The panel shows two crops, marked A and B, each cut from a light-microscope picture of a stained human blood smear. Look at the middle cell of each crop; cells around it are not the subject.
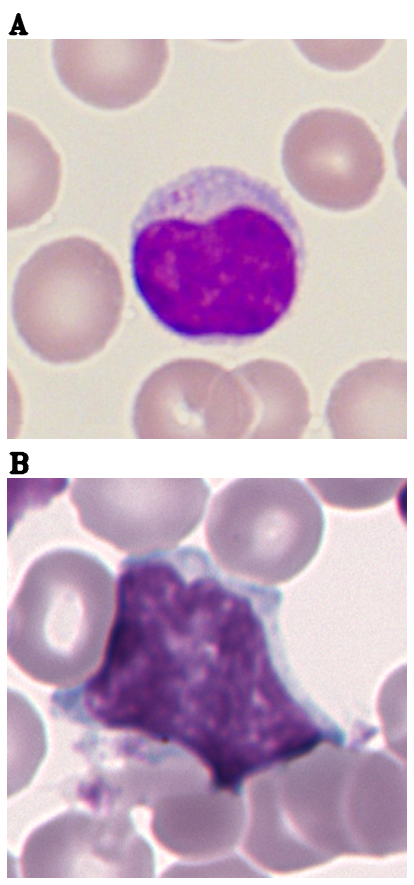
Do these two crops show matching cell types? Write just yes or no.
yes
